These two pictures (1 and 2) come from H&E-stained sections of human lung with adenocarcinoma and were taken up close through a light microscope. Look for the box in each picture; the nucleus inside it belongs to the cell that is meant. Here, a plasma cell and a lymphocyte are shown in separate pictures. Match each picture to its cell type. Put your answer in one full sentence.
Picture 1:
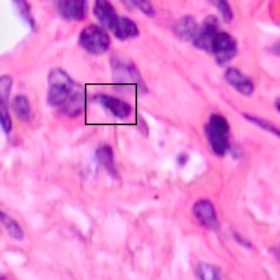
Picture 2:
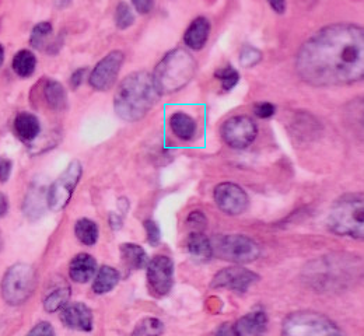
It is picture 1 that shows a plasma cell, and picture 2 that shows a lymphocyte.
